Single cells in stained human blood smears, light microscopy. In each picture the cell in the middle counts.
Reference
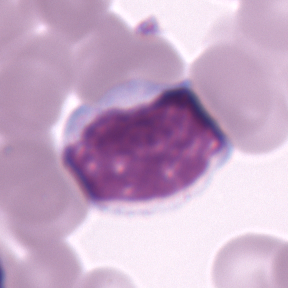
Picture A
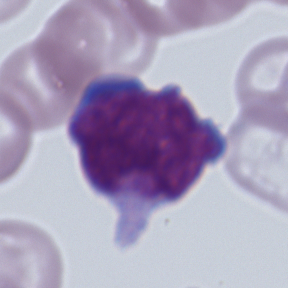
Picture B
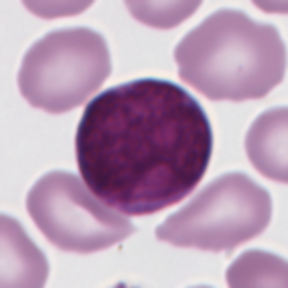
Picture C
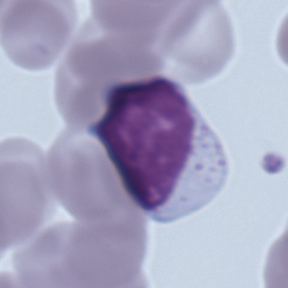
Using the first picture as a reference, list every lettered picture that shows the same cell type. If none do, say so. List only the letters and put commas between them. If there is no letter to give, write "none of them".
C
